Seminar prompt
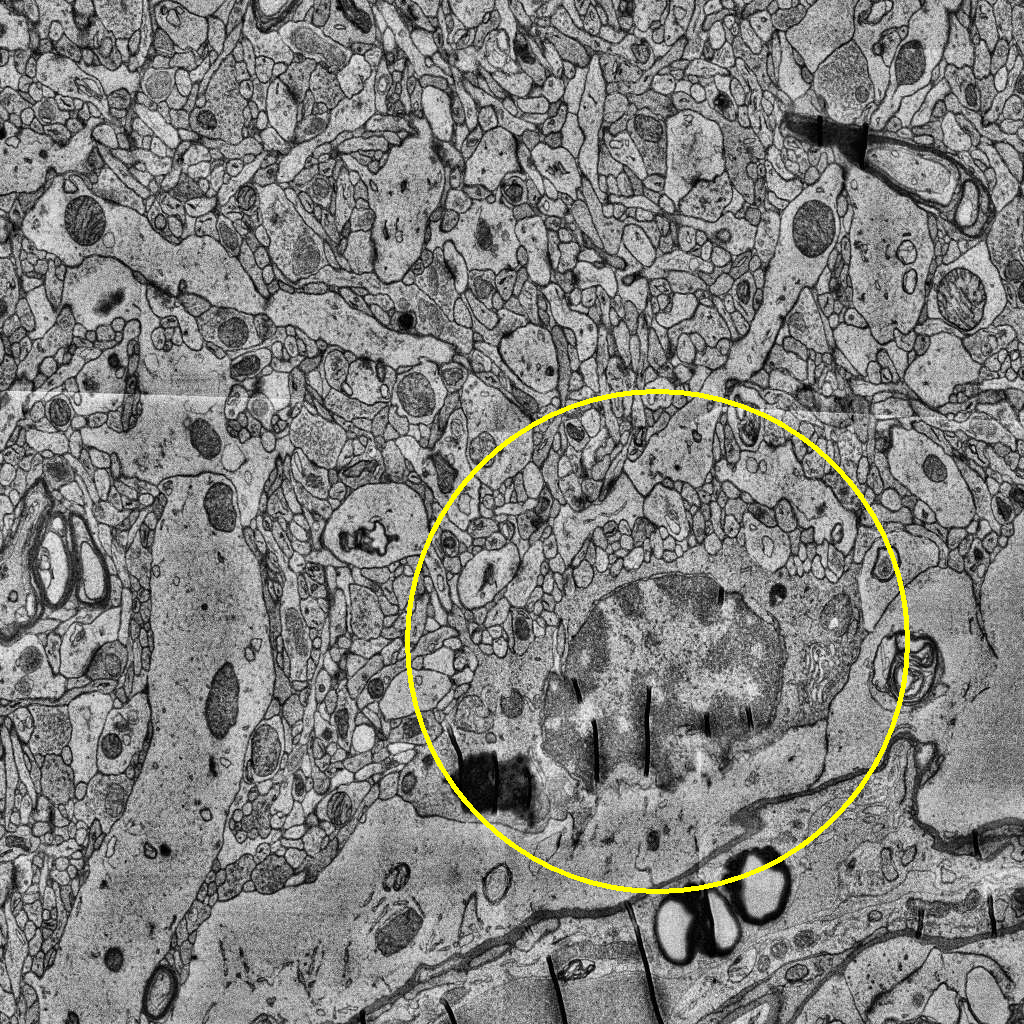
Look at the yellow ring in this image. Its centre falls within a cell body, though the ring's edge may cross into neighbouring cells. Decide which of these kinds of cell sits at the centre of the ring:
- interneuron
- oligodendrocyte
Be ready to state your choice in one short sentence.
The kind of cell at the ring's centre is an oligodendrocyte.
